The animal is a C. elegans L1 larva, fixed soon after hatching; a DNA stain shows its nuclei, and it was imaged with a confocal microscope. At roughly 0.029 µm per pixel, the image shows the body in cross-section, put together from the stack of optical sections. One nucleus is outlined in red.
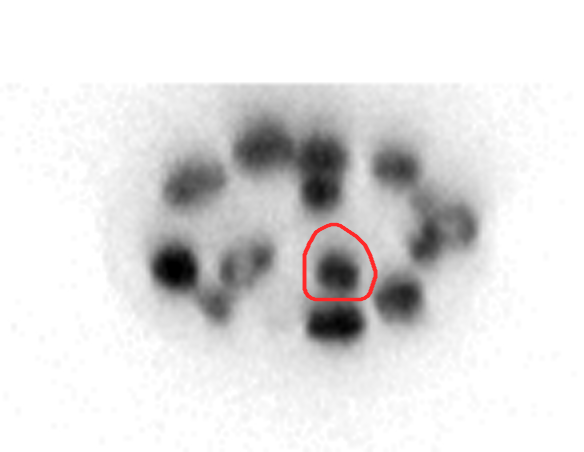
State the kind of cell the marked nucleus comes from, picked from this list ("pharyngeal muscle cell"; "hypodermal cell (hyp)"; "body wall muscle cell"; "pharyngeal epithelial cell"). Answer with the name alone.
pharyngeal epithelial cell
